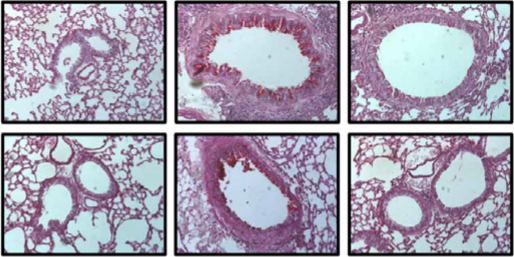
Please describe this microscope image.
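These are small views of lung, each centred on a cut bronchiole surrounded by the fine lace of alveolar walls. In some of the views, the airway lining carries many cells filled with bright magenta-red material, which is mucus held in goblet cells along the epithelium. Those same airways show a thicker wall with more tissue around them. In the other airways the epithelium stays a thin pink band with little or no magenta colour.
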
